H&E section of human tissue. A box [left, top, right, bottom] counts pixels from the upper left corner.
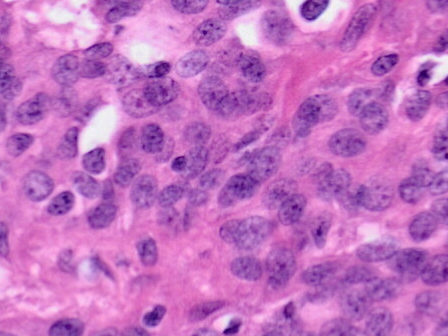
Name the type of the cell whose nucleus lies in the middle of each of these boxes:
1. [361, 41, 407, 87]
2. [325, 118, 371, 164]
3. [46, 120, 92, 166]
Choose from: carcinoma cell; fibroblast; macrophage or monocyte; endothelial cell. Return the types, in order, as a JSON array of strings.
["macrophage or monocyte", "carcinoma cell", "carcinoma cell"]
